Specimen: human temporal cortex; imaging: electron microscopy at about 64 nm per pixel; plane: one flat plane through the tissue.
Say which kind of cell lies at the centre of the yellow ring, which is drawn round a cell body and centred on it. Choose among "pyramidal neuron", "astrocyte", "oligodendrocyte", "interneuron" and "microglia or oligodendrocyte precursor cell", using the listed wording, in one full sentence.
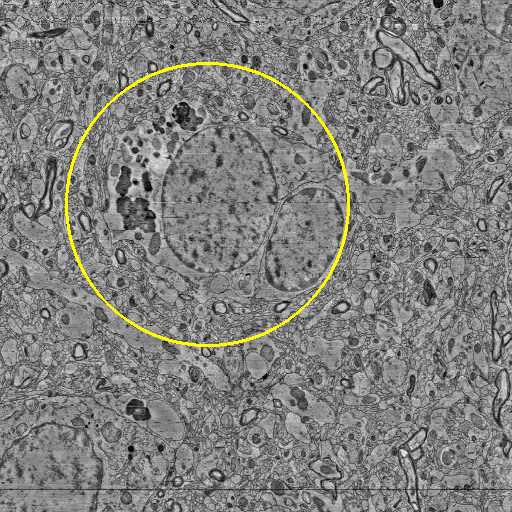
Going by the list, the cell at the yellow ring's centre is an astrocyte.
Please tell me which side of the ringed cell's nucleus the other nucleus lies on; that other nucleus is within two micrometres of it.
The other nucleus is located to the right of it.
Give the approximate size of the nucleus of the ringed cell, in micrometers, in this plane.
About 10 by 7 micrometres in this plane.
